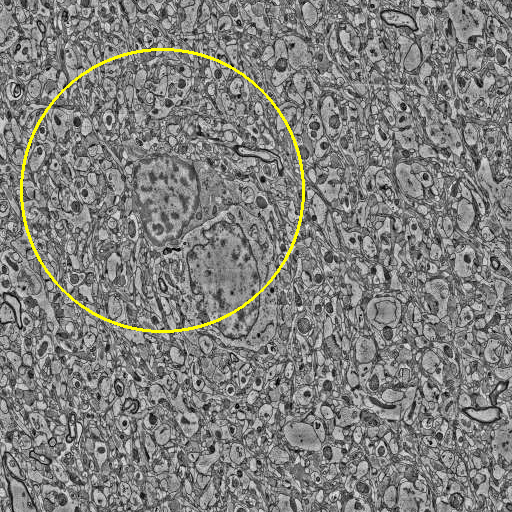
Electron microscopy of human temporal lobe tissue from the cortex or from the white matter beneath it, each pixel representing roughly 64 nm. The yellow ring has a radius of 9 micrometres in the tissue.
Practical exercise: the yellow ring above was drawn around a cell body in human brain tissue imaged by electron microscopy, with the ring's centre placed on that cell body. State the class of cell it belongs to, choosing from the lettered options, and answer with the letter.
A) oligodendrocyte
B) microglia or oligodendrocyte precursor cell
A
